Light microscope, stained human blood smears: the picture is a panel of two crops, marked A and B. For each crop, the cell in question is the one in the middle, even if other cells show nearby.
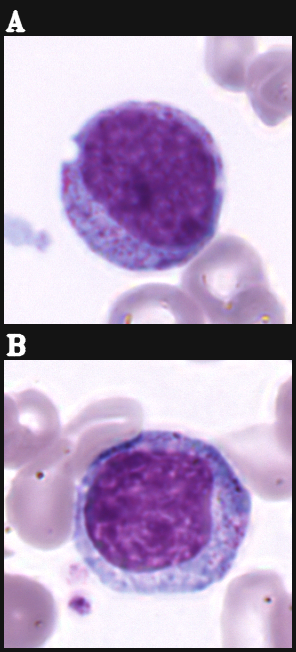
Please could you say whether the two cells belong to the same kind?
yes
